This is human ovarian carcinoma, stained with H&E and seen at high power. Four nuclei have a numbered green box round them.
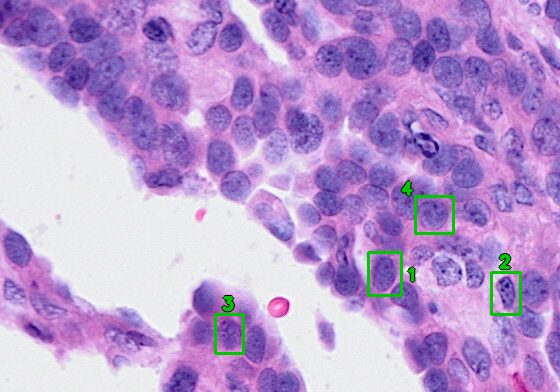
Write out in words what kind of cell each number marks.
Cells 1, 3 and 4 are carcinoma cells. Cell 2 is a macrophage or monocyte.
